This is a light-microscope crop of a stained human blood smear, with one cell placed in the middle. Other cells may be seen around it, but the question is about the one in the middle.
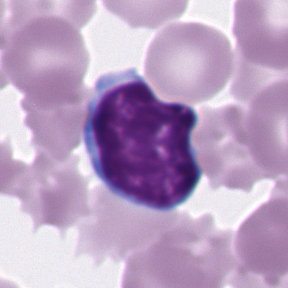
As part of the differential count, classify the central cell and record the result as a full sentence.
The middle of this crop holds a typical lymphocyte.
